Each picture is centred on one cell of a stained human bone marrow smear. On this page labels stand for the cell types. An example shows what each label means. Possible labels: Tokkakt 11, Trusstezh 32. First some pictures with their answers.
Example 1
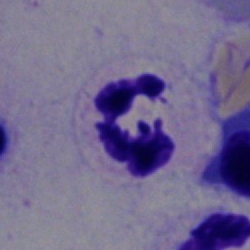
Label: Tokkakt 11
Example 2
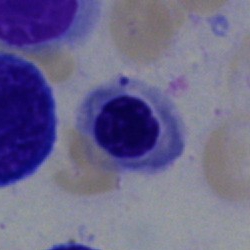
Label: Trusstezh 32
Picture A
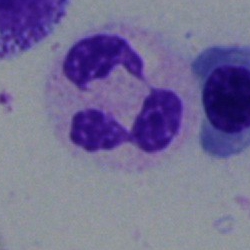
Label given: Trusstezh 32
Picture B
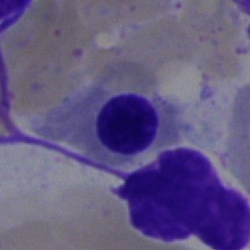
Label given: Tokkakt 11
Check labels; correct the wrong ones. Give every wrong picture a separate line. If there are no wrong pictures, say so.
A: change Trusstezh 32 to Tokkakt 11
B: change Tokkakt 11 to Trusstezh 32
